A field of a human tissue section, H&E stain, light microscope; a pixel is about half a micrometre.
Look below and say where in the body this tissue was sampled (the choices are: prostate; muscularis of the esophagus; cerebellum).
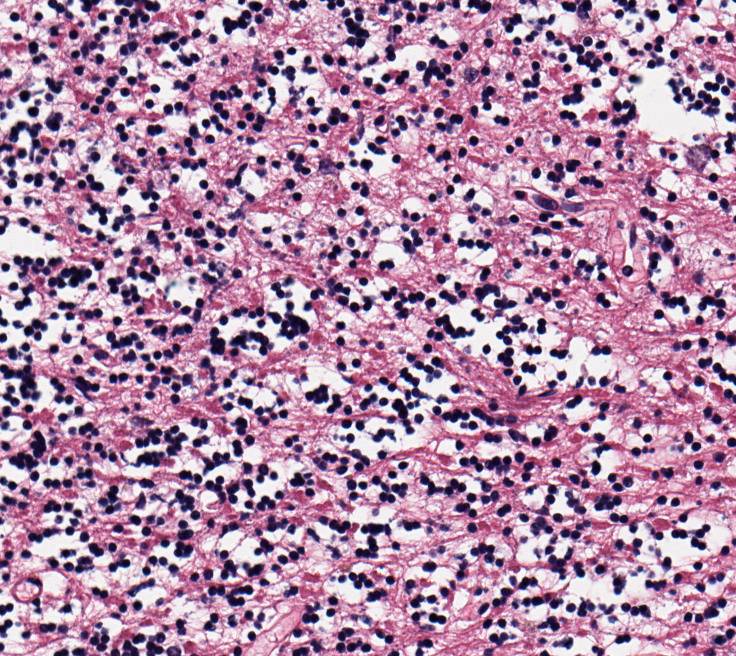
cerebellum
